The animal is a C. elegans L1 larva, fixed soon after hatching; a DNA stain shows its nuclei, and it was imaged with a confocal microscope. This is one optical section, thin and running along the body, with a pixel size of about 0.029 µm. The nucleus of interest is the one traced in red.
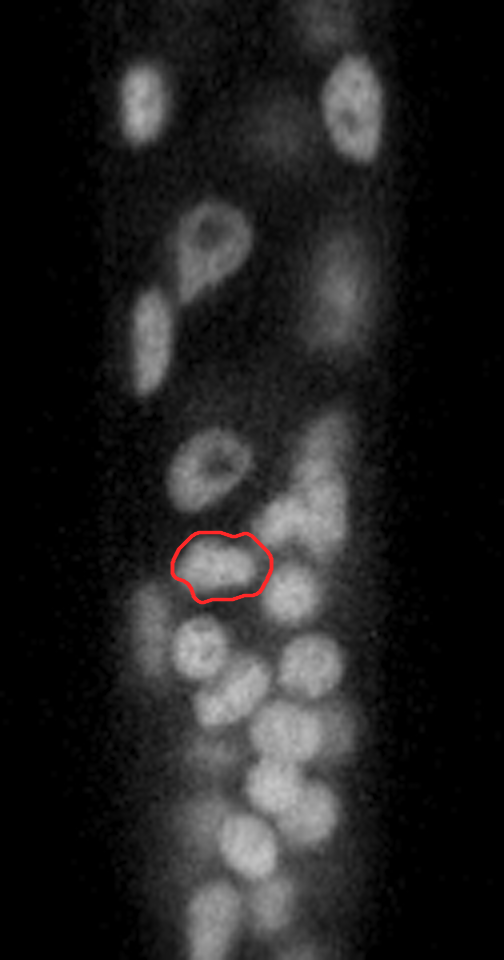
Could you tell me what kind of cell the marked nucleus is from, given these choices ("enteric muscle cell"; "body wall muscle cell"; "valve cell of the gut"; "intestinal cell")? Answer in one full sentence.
It is the nucleus of a valve cell of the gut.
